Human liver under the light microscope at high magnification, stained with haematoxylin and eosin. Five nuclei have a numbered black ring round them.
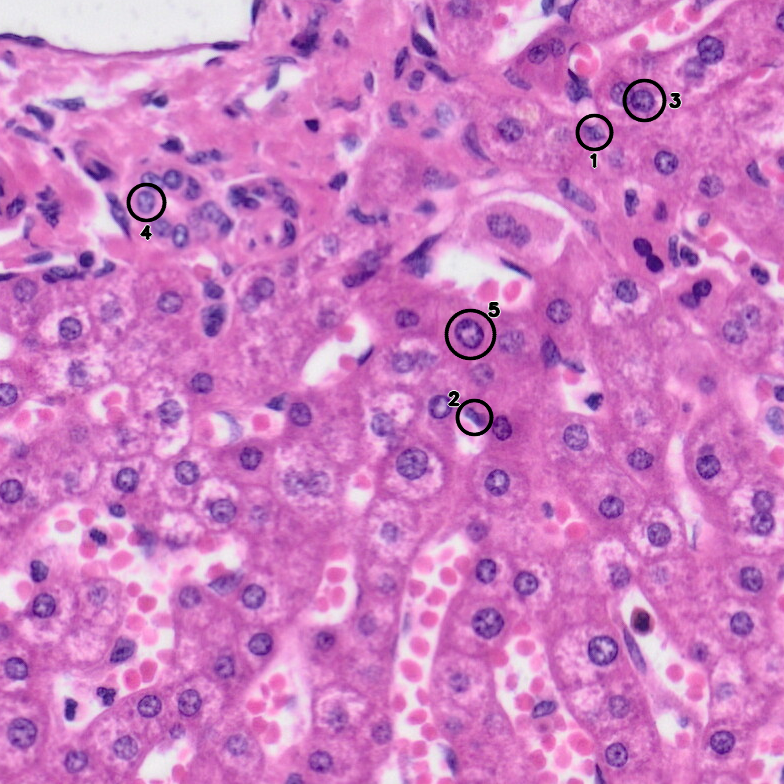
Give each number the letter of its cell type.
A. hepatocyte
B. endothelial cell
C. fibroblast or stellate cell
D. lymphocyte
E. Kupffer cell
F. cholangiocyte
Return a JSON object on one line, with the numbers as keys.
{"1": "C", "2": "B", "3": "A", "4": "F", "5": "A"}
